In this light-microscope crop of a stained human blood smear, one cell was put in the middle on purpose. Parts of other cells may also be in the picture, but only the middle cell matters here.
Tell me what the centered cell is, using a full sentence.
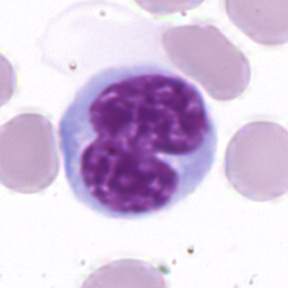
In the center of this field lies a plasma cell.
